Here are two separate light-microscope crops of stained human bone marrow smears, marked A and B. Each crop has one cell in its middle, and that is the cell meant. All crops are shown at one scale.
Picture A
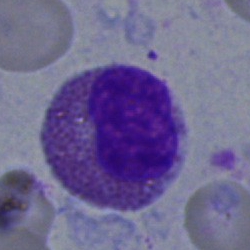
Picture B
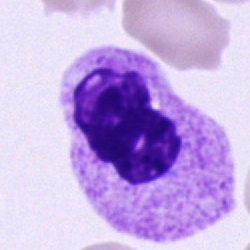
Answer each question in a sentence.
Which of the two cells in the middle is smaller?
It is the cell in picture A; the cell in picture B has about 1.5 times its area.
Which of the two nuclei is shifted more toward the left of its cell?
In picture B the nucleus is shifted more toward the left.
